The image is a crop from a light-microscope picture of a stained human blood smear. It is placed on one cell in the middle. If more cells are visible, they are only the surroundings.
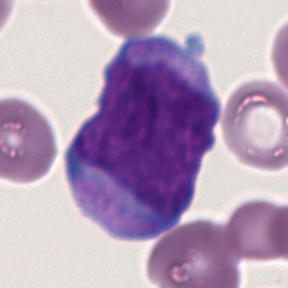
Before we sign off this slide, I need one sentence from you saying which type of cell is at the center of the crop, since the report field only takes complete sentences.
The central cell, amid any neighbouring cells, is an atypical promyelocyte.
